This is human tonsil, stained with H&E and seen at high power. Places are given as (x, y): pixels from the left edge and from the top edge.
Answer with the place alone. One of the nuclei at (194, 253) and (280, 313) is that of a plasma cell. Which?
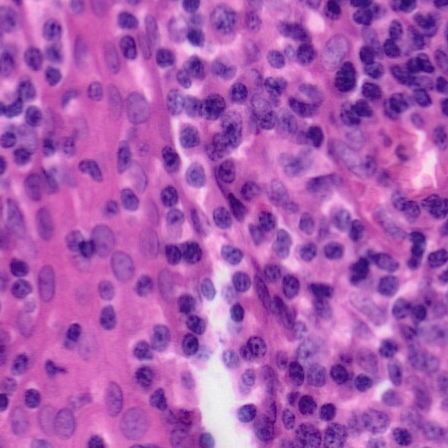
(194, 253)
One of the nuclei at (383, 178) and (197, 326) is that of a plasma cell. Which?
(197, 326)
